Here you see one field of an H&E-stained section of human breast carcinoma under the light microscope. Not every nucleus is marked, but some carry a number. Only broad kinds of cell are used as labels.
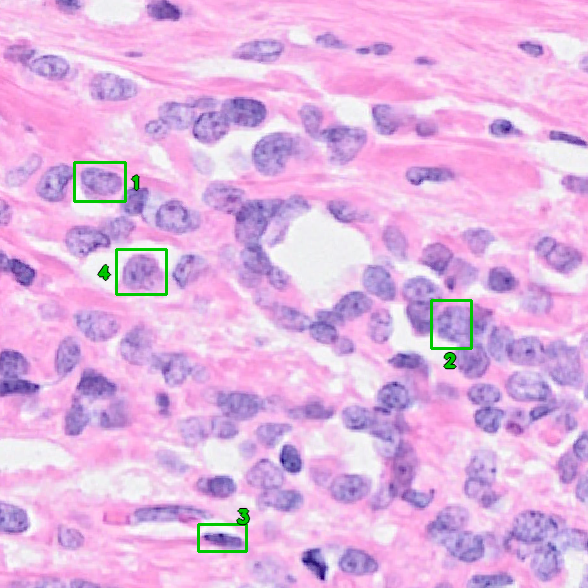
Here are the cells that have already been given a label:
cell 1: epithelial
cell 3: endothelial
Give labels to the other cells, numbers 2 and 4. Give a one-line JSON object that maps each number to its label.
{"2": "epithelial", "4": "epithelial"}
